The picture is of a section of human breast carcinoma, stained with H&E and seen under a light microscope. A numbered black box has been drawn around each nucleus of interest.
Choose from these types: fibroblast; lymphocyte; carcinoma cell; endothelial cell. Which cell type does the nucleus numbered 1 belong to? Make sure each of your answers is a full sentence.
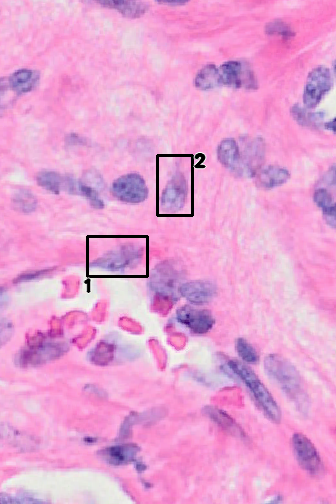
Among the marked nuclei, number 1 belongs to an endothelial cell.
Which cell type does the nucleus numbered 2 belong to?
That cell with number 2 is a fibroblast.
